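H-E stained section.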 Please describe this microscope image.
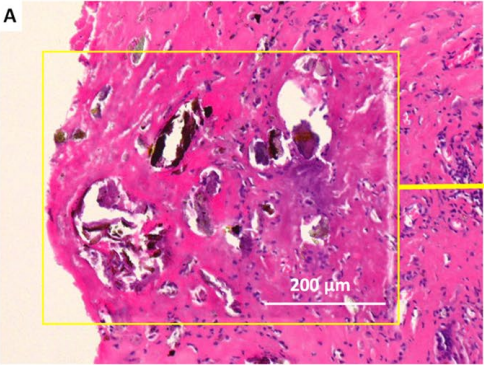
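Small, dark, spindle-shaped nuclei are scattered sparsely through this matrix. Dark brown to black angular fragments of varying size lie within the tissue, many inside clear, empty-looking clefts and spaces. Around some of these spaces, and in a central zone, the tissue is more cellular and stains more purple. The left edge of the section forms a free surface that borders pale, empty background.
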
